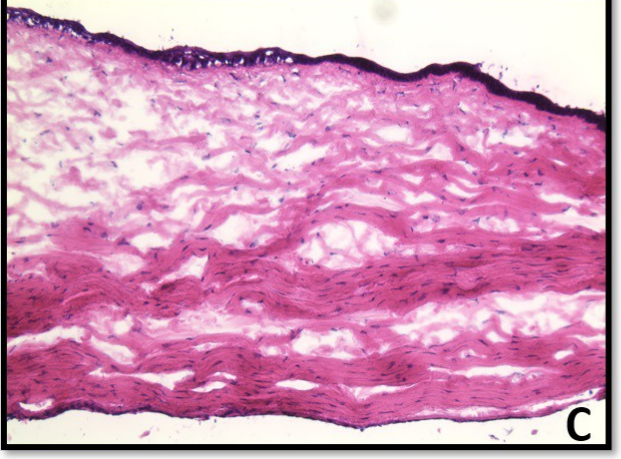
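A section of cornea whose stroma is markedly swollen and disorganized, the pink collagen bundles being pulled apart by wide clear spaces, most of all in the upper half. The surface is covered only by a thin dark purple layer without distinct rows of epithelial cells, while the lower stroma holds denser, wavy bundles with scattered elongated nuclei and a thin cell layer on the underside.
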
